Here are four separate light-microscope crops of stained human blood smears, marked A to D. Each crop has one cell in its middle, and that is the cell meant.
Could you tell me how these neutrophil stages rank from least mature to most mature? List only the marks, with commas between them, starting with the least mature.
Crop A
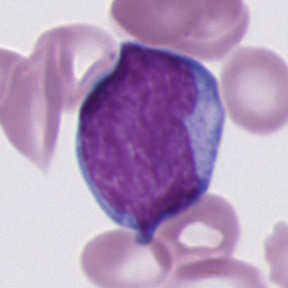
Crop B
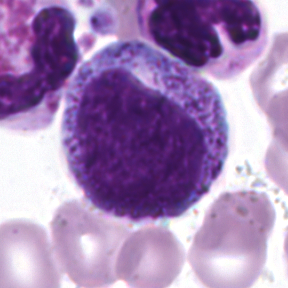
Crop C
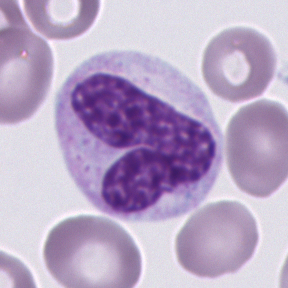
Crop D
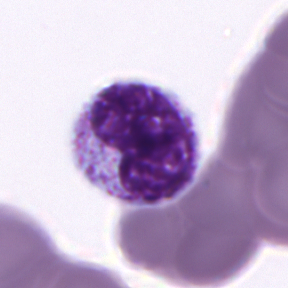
A, B, D, C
